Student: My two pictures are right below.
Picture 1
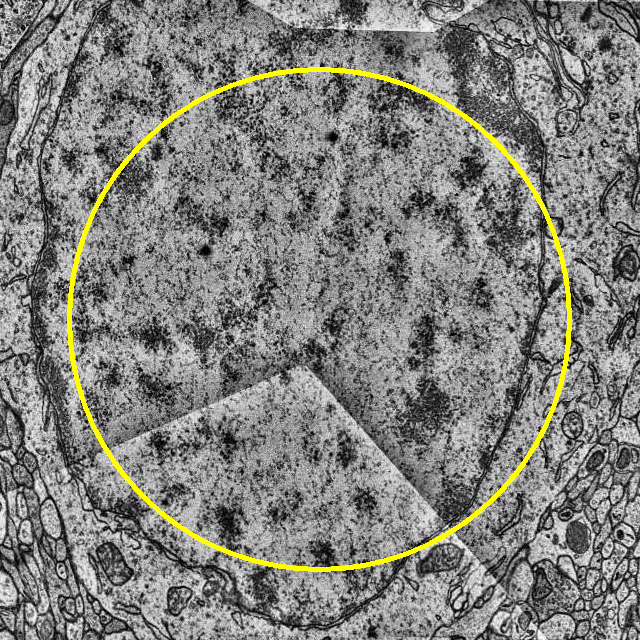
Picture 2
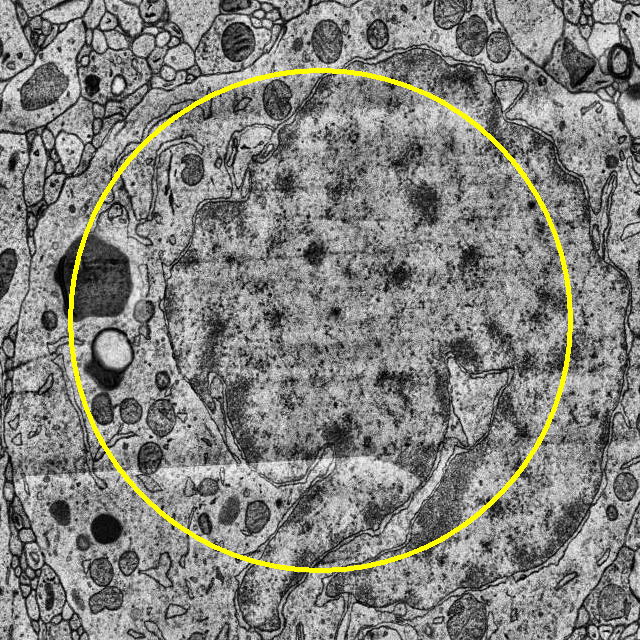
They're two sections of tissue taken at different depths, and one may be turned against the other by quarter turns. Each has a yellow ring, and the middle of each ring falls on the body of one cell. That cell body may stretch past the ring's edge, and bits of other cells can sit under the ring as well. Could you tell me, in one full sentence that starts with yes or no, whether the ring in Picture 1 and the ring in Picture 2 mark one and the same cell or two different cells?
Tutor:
No, the two rings were placed on two different cells.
